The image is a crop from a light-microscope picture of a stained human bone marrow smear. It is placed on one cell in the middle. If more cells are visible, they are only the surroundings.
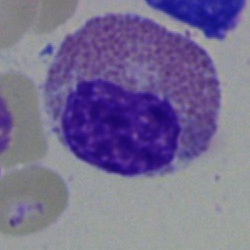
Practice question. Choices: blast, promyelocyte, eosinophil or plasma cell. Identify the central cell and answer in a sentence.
Here the cell in the middle is an eosinophil.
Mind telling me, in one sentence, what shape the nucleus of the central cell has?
Have a look at the nucleus, which is one compact mass, round, oval or kidney-shaped.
